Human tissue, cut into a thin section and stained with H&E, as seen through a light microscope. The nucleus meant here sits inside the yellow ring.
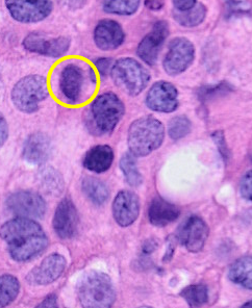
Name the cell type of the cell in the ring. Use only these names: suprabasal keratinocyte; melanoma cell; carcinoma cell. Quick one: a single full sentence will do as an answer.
Typologically, the cell in the ring is a carcinoma cell in this section.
